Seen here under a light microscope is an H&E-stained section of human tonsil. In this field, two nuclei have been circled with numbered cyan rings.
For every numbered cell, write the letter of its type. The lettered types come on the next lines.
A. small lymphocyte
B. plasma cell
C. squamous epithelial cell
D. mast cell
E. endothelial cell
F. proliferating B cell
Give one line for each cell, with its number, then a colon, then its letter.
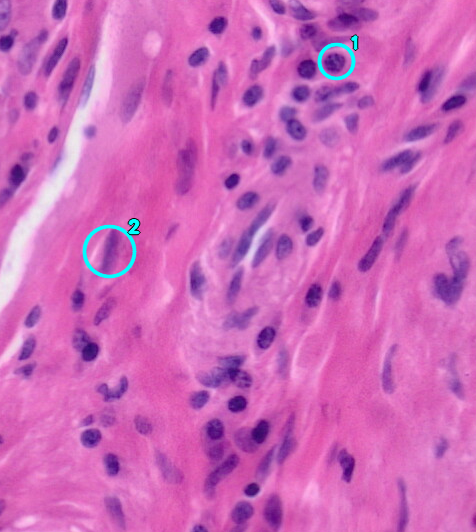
1: B
2: E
